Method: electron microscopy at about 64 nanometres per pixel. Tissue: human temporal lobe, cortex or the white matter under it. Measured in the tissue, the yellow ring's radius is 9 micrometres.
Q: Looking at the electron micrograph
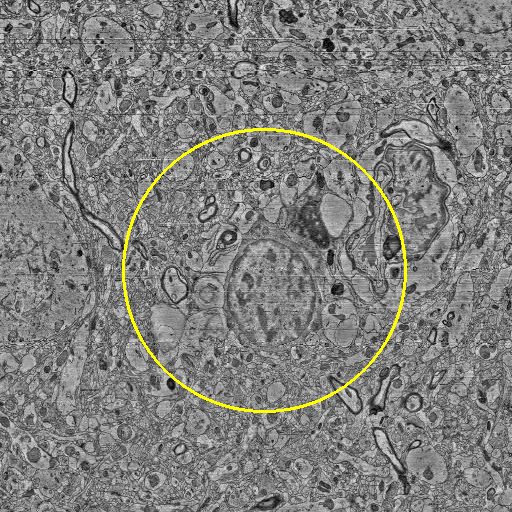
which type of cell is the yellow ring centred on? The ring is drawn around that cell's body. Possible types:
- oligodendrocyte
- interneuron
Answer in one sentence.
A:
The yellow ring is centred on an oligodendrocyte.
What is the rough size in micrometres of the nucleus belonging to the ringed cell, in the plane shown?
Roughly 7 by 6 micrometres is the size of the nucleus in this plane.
